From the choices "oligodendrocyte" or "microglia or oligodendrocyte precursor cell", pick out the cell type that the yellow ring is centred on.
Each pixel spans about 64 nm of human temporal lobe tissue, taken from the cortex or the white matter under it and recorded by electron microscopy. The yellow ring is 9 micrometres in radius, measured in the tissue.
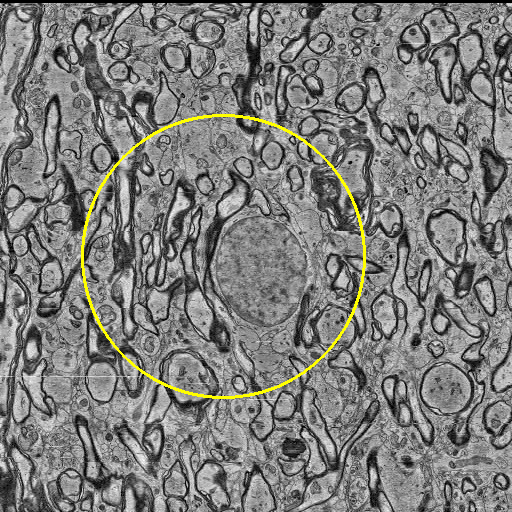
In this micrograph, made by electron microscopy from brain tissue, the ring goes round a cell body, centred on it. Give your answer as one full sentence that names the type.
The yellow ring is centred on a microglial cell or oligodendrocyte precursor cell, whose cell body it encircles in the picture.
